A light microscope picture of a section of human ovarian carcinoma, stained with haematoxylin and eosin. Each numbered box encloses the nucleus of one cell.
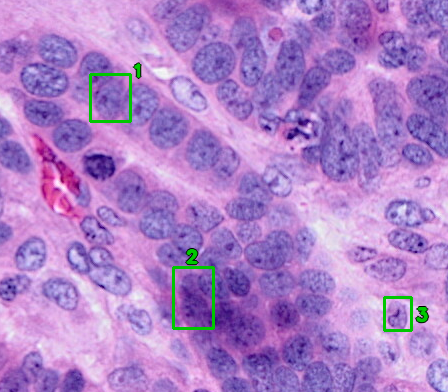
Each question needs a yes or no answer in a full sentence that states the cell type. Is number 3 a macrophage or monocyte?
Yes, as for number 3, the cell is a macrophage or monocyte.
